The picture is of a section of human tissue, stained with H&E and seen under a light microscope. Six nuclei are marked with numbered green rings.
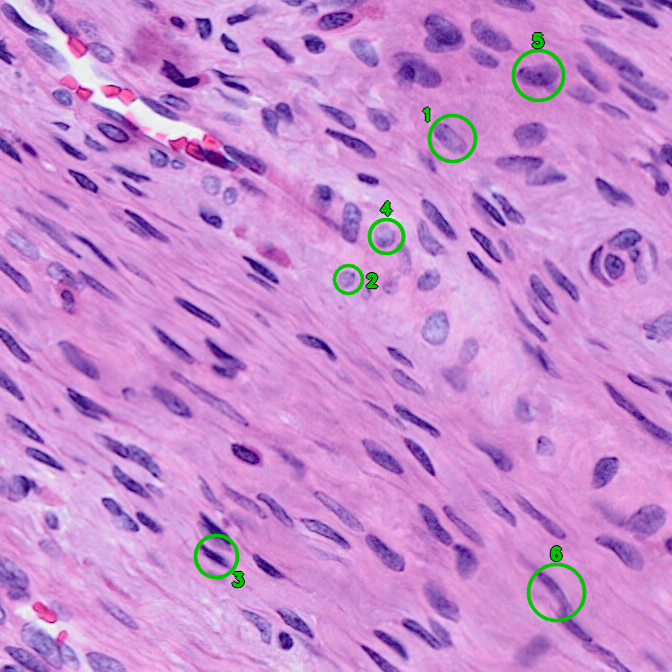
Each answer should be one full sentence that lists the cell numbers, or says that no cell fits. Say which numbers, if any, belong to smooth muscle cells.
In short, the numbered cells 2 and 4 are smooth muscle cells.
